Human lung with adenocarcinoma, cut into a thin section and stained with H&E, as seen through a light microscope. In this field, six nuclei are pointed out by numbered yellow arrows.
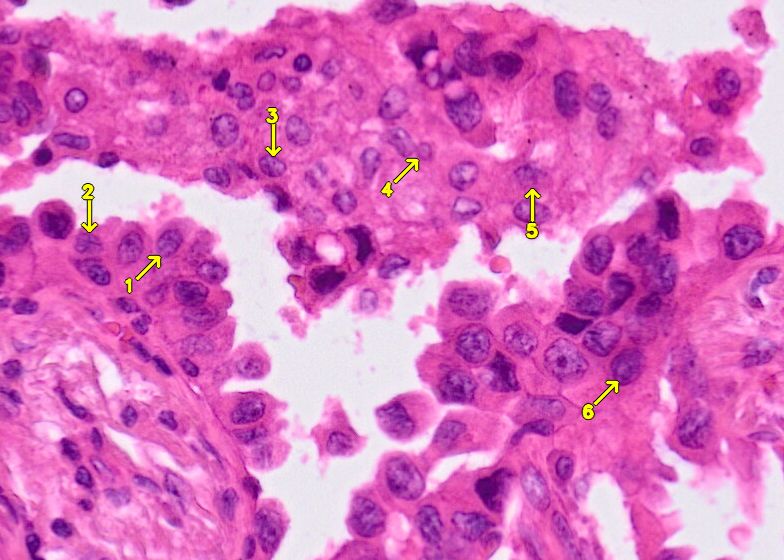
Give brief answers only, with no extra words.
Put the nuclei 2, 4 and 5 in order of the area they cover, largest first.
5, 2, 4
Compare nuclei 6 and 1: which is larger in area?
6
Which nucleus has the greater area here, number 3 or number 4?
3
